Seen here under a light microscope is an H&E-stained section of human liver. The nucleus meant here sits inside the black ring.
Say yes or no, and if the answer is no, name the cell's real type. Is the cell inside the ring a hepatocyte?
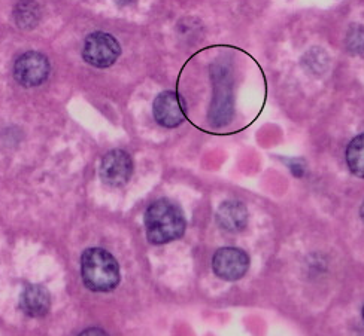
No, it is a Kupffer cell.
